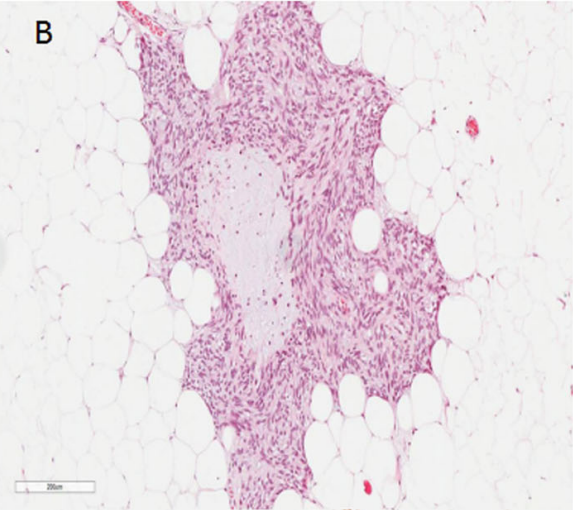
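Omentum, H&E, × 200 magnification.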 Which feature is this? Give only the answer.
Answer: Tumorlet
